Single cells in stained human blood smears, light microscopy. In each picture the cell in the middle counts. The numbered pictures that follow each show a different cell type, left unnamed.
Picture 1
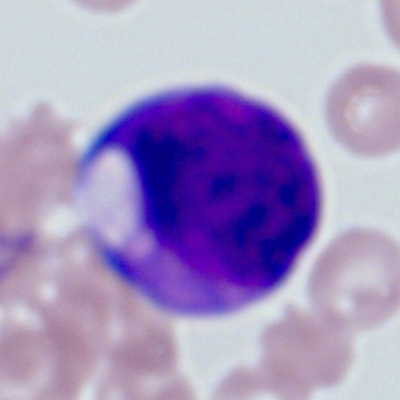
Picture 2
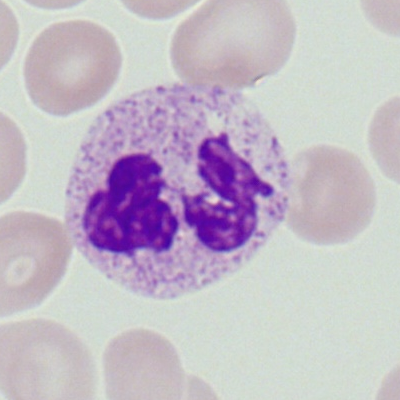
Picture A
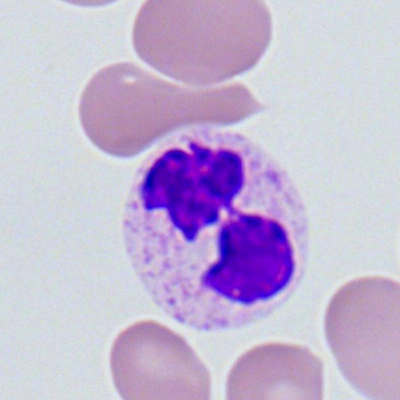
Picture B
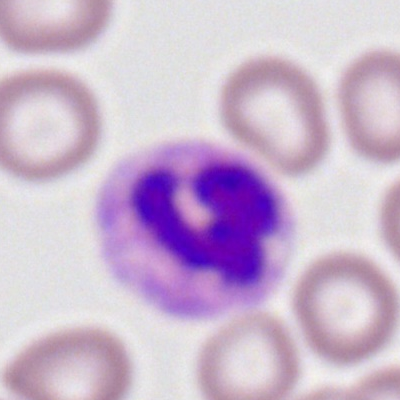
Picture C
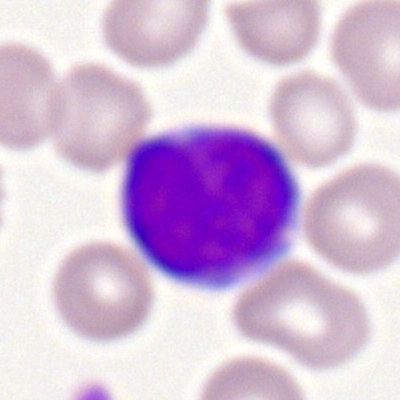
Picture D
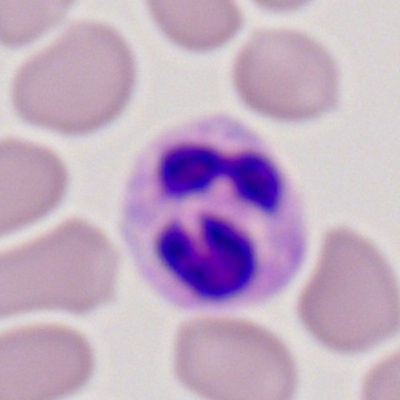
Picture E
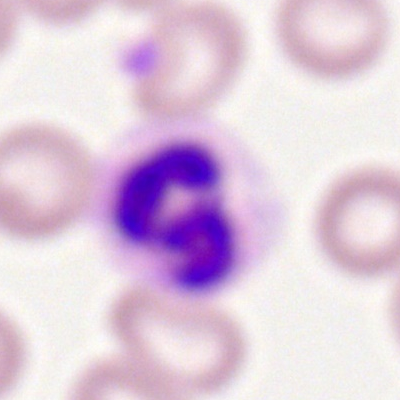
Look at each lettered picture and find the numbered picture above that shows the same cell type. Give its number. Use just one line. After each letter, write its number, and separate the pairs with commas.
A 2, B 2, C 1, D 2, E 2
